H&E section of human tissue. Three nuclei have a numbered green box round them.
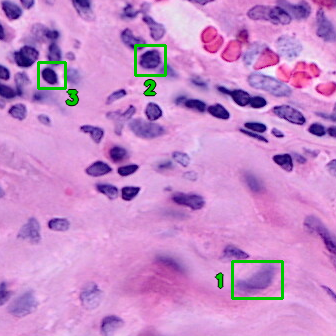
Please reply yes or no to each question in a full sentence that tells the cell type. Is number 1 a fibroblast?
Yes, the cell referred to as number 1 is a fibroblast.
